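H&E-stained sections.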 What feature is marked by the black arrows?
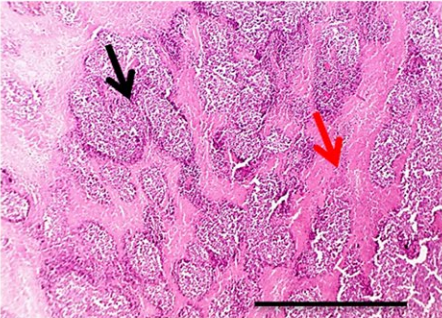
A: Viable foci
